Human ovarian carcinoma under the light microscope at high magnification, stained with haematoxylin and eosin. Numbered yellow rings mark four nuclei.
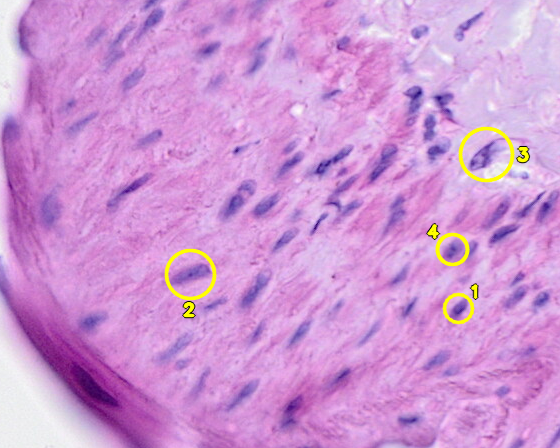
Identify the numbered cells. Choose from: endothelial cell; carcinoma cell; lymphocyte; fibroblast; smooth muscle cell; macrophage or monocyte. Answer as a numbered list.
1. smooth muscle cell
2. smooth muscle cell
3. fibroblast
4. smooth muscle cell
